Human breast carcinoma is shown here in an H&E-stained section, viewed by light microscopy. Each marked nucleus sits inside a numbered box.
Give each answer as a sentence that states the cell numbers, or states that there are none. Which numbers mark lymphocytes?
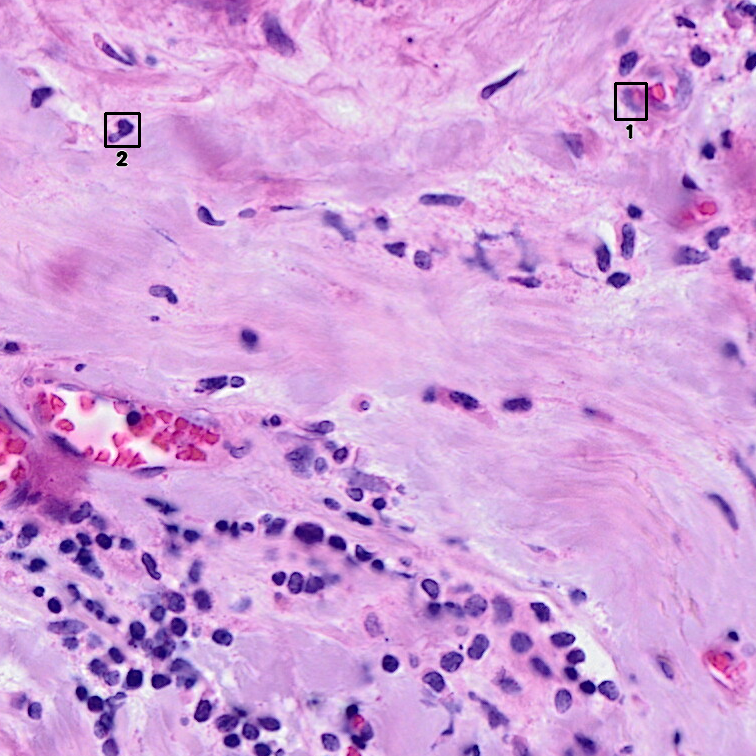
Whereas cell 2 is a lymphocyte, the other numbered cells are not.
